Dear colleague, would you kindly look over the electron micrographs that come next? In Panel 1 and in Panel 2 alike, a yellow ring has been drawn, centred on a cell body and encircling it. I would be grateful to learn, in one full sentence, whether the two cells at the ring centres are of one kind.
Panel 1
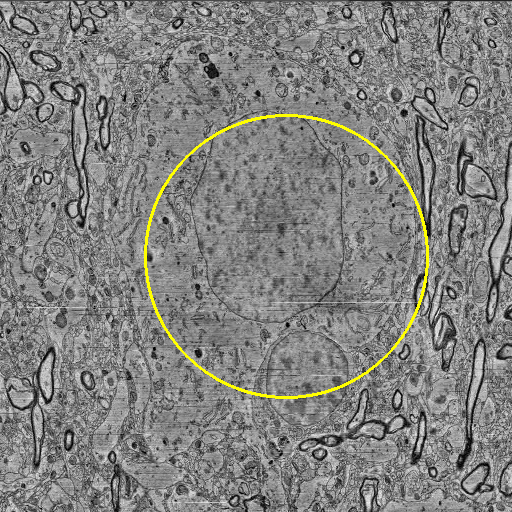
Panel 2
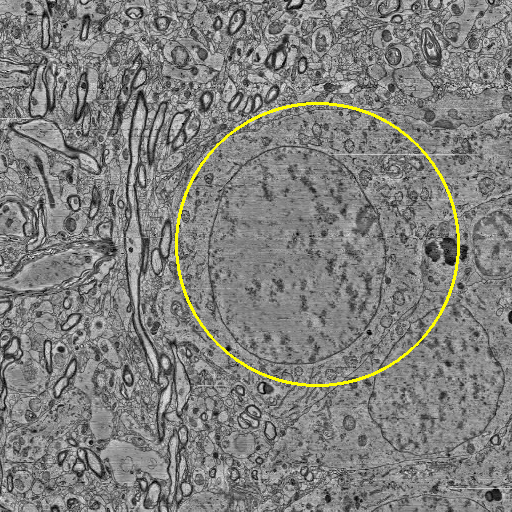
Yes, the cells in the middle of the rings in the two panels are of one kind.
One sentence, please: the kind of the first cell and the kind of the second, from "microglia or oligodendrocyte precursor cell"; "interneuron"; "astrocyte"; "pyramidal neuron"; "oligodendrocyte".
The cell in the first picture is a pyramidal neuron, and so is the one in the second.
